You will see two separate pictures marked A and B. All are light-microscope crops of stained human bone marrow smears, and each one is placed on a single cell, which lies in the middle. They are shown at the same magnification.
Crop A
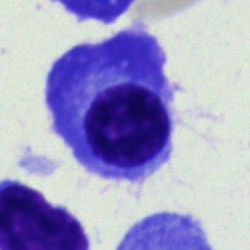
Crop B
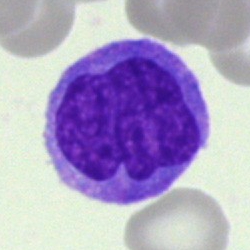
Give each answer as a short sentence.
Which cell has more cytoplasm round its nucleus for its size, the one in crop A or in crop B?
It is the cell in crop A that is filled less by its nucleus.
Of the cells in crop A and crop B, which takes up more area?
Crop B holds the larger cell; it covers about 1.5 times the area of the cell in crop A.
